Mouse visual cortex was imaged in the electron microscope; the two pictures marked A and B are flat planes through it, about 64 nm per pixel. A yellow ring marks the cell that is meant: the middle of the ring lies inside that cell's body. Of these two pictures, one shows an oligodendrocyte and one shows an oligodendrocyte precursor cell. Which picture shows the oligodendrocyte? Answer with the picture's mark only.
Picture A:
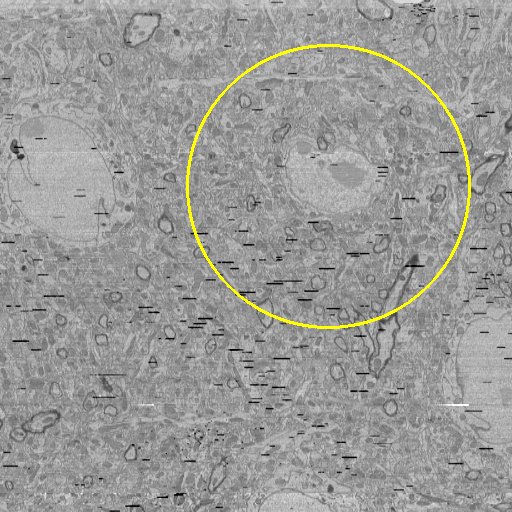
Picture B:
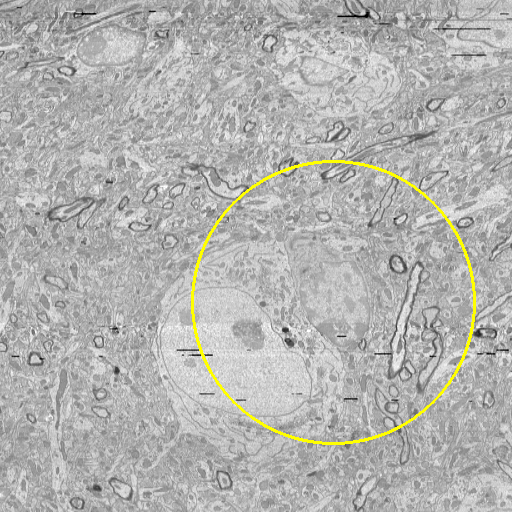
B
